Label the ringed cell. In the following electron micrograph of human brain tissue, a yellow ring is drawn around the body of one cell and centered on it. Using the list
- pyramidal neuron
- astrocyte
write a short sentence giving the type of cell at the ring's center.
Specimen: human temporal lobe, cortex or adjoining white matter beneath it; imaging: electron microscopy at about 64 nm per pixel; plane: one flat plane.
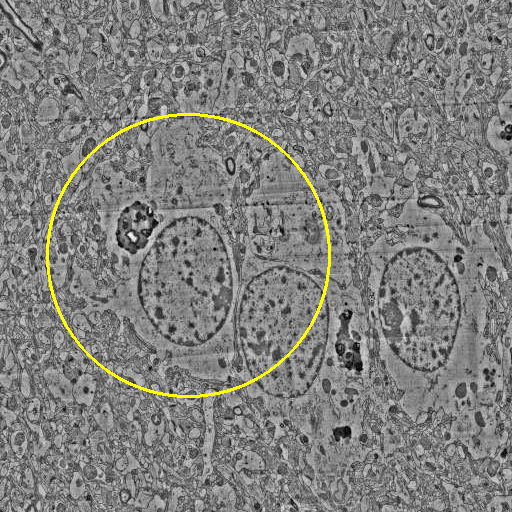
The cell body at the ring's center is that of an astrocyte.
